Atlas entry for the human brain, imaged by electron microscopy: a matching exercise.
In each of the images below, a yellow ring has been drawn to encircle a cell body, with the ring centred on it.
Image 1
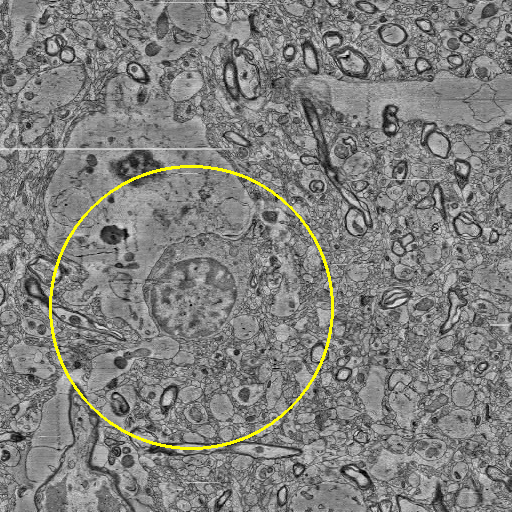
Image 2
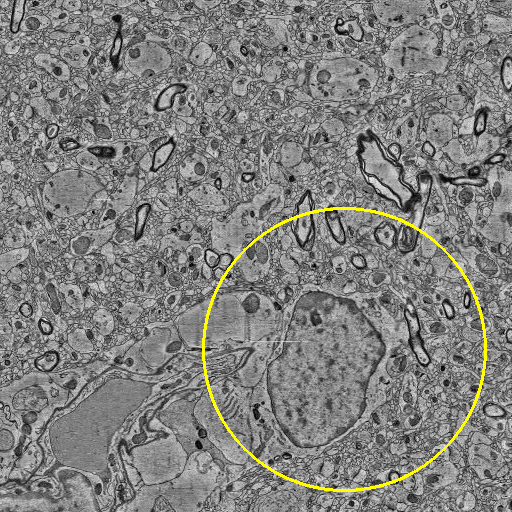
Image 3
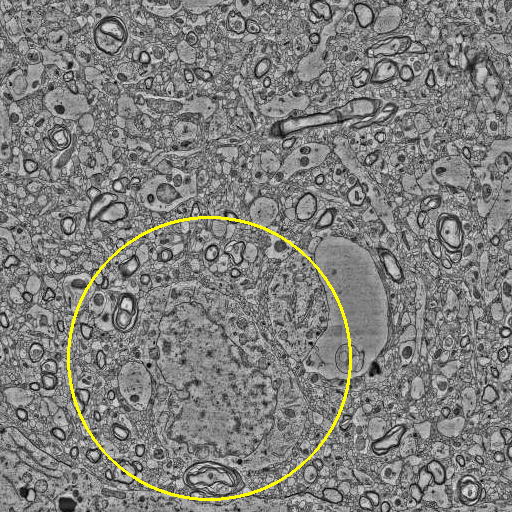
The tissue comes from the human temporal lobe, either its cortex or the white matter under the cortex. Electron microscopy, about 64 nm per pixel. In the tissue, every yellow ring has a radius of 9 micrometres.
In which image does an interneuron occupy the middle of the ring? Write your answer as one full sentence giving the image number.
In image 3, the ring is centred on the cell in question.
